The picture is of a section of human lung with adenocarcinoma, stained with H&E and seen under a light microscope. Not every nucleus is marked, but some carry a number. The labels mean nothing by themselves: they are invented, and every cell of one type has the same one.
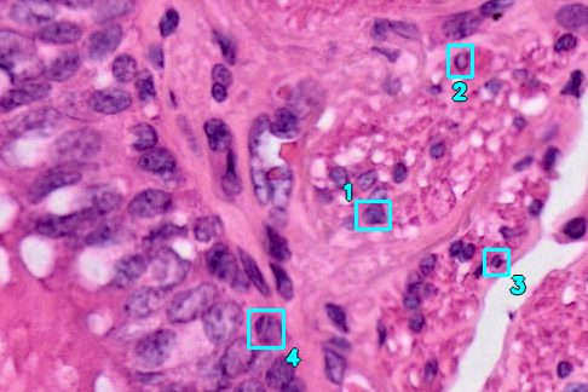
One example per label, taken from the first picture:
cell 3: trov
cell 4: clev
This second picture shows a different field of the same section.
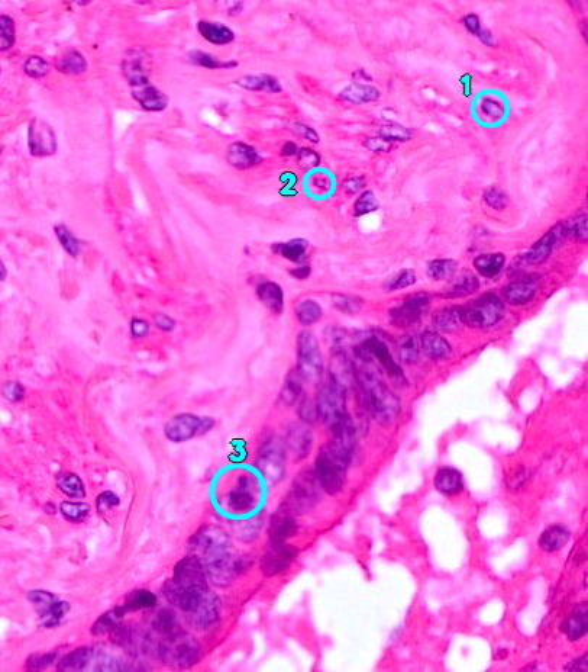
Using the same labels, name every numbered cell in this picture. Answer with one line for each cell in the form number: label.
1: trov
2: trov
3: clev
